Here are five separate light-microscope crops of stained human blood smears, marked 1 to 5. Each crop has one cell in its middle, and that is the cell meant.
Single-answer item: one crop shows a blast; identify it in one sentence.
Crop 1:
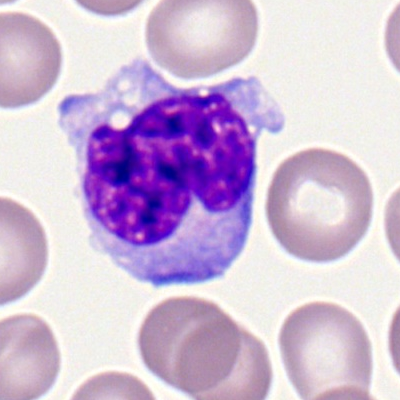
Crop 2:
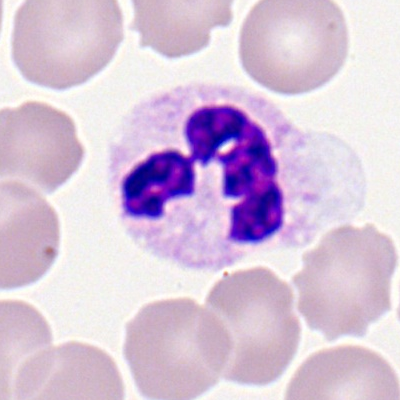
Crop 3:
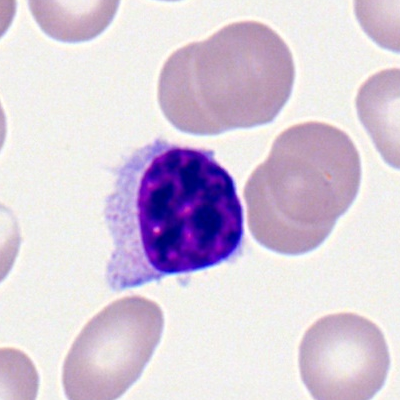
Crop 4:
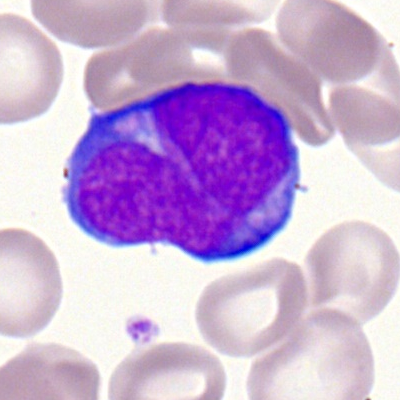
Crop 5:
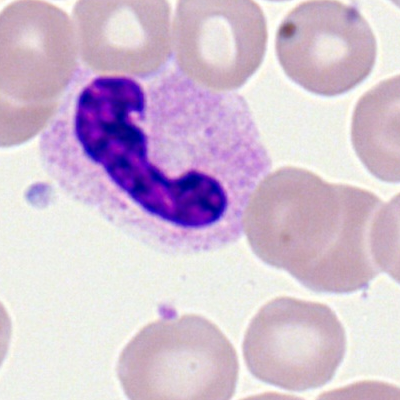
Of the labelled crops, the one that shows a blast is crop 4.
